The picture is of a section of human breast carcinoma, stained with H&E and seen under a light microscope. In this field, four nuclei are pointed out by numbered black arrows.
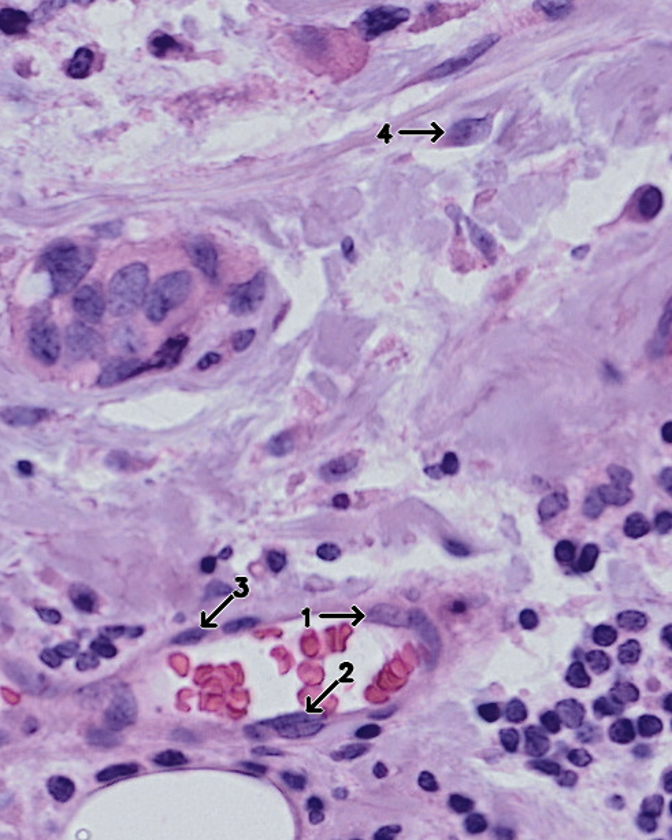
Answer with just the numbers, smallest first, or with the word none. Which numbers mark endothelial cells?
1, 2, 3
